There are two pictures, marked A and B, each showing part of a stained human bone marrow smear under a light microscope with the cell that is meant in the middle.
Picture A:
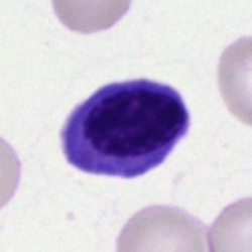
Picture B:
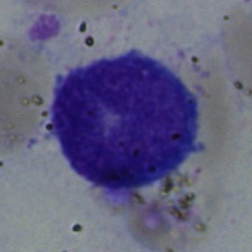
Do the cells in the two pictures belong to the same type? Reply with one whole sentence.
No, picture A shows an erythroblast and picture B shows a blast.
